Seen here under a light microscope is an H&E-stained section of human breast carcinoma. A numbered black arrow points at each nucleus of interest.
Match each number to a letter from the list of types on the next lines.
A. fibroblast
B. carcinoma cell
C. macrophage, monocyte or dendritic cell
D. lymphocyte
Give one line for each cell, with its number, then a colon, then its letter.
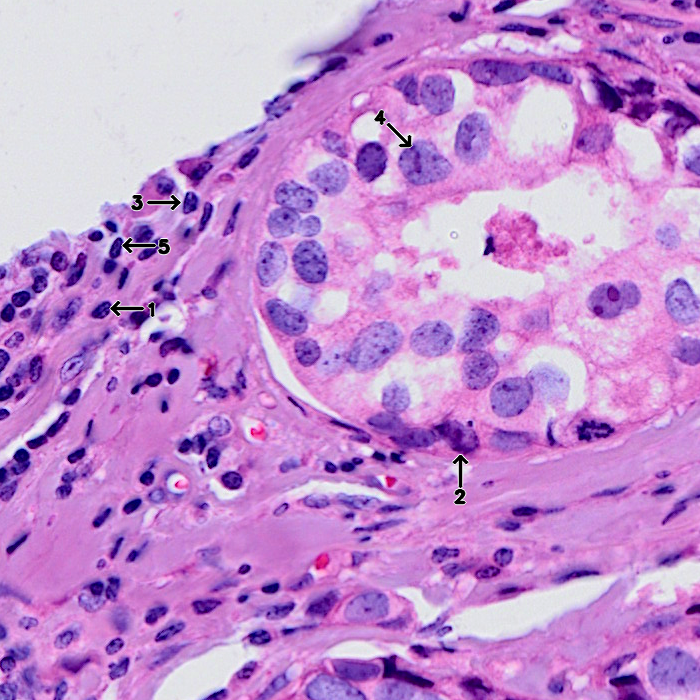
1: D
2: B
3: D
4: B
5: D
